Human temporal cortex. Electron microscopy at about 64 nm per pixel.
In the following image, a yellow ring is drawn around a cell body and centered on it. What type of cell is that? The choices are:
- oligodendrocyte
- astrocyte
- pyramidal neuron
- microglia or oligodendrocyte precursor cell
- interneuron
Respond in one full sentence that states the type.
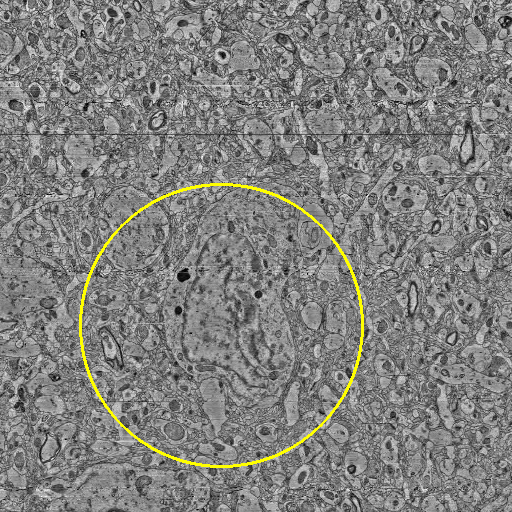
The cell at the center of the yellow ring in the image is an interneuron.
